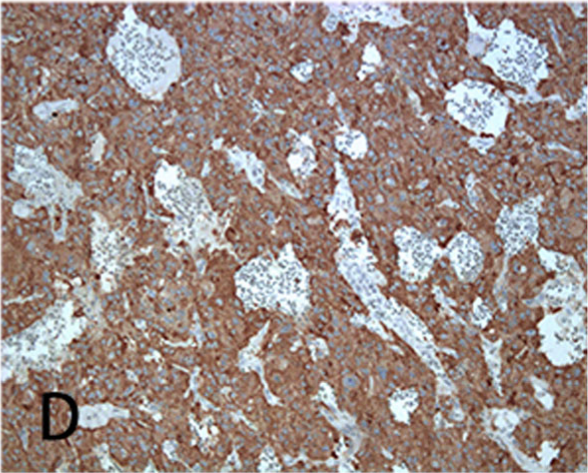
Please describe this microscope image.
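This section shows a tumor whose cells are packed in solid sheets and almost all carry a strong, diffuse brown stain in their cytoplasm. The small, round, blue nuclei stand out against the brown cytoplasm. Numerous irregular vascular spaces interrupt the sheets. These spaces contain unstained red blood cells and appear pale against the brown tumor. The staining is even across the field, with no unstained groups of tumor cells.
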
